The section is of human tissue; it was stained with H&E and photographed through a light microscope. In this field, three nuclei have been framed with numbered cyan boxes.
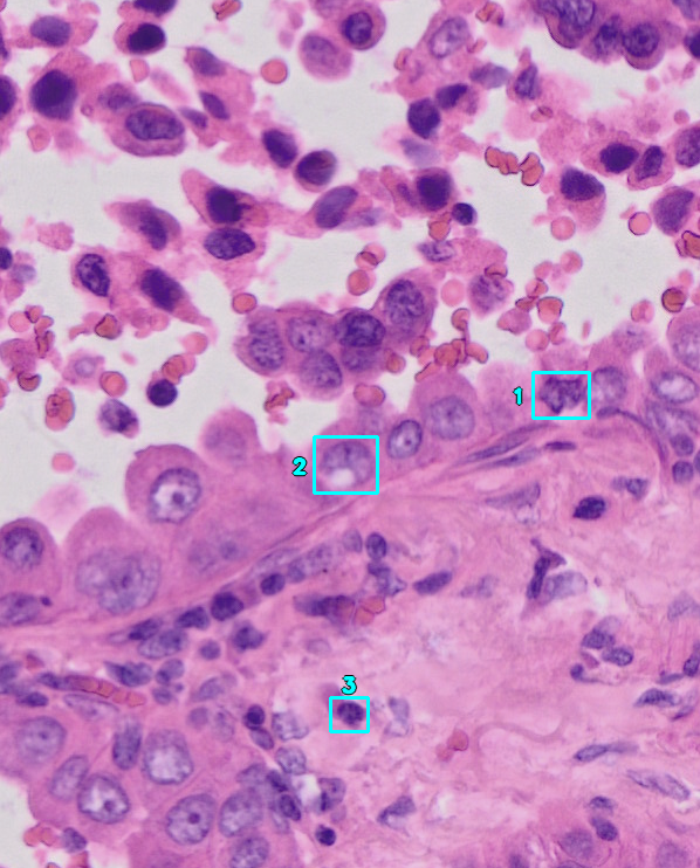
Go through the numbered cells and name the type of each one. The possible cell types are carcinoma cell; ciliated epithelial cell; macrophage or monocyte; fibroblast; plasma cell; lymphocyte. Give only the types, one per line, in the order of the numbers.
carcinoma cell
carcinoma cell
plasma cell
